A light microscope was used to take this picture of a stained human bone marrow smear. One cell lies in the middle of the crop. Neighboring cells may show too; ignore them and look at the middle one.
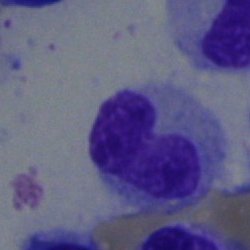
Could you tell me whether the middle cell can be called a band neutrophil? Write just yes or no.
yes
